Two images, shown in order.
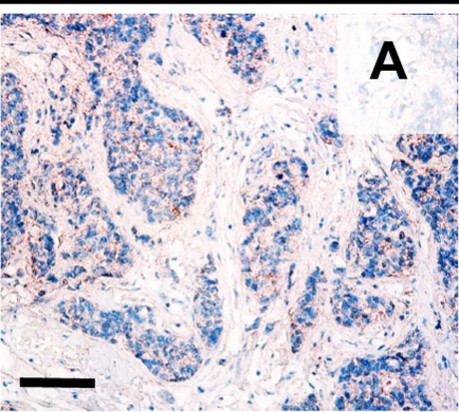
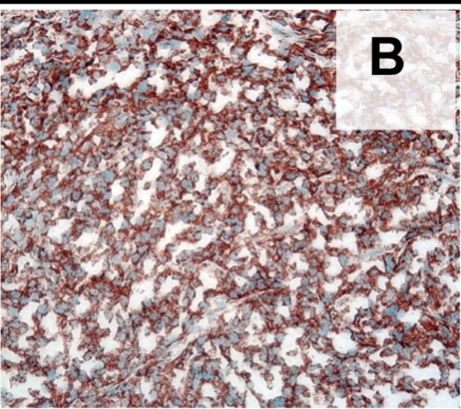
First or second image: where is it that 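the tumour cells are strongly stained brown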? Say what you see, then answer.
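Second image: nearly every tumour cell is outlined in dark brown. First image: tumour cells appear mostly blue with only faint brown. On this evidence: the second image.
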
